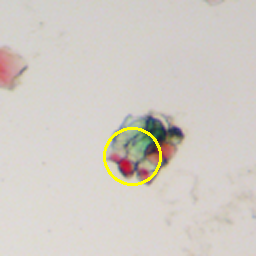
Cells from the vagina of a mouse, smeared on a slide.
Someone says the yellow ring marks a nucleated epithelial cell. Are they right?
They are right: it is a nucleated epithelial cell.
